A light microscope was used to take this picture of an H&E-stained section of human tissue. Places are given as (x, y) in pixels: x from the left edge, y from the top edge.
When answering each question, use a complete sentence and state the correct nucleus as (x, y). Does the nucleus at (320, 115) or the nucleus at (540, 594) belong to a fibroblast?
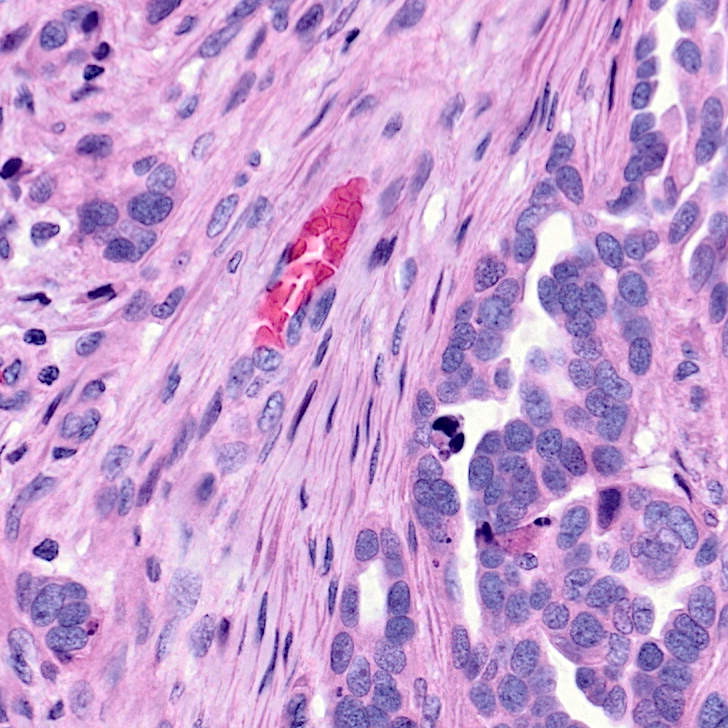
Answering which nucleus it is: the one at (320, 115), belonging to a fibroblast.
